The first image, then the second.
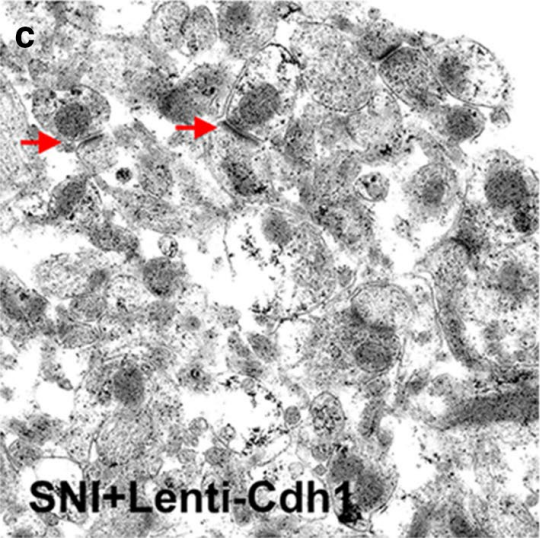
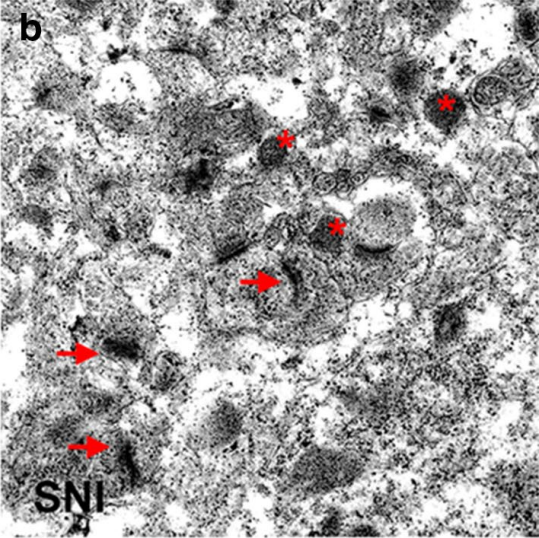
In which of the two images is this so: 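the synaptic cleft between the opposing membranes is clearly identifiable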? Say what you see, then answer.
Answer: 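Second image: the arrowed contacts appear as broad, dark, smeared densities with no clear gap between membranes. First image: the arrowed contacts show thin dark membrane densities with a narrow visible gap between them.
Answer: the first image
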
